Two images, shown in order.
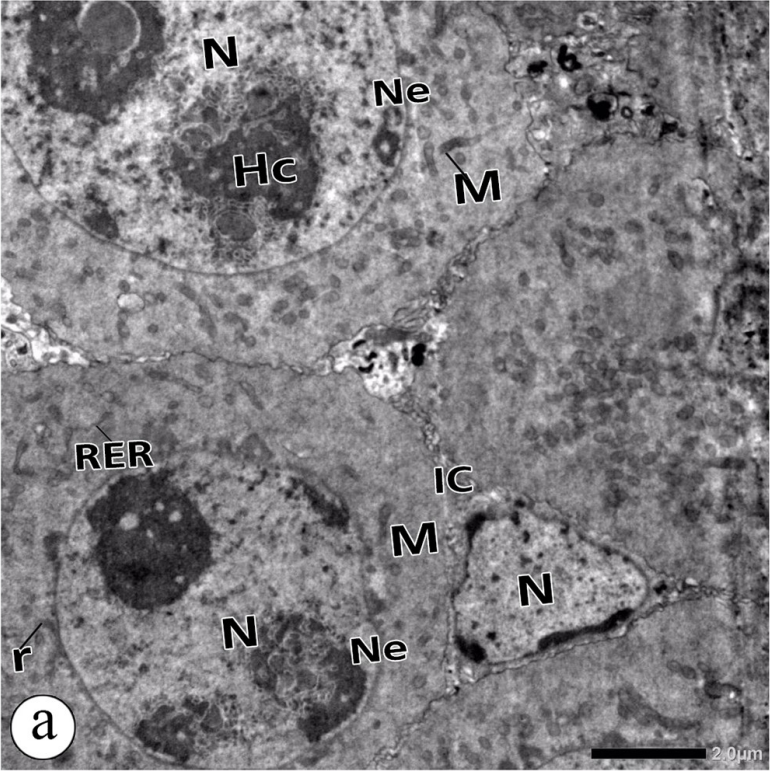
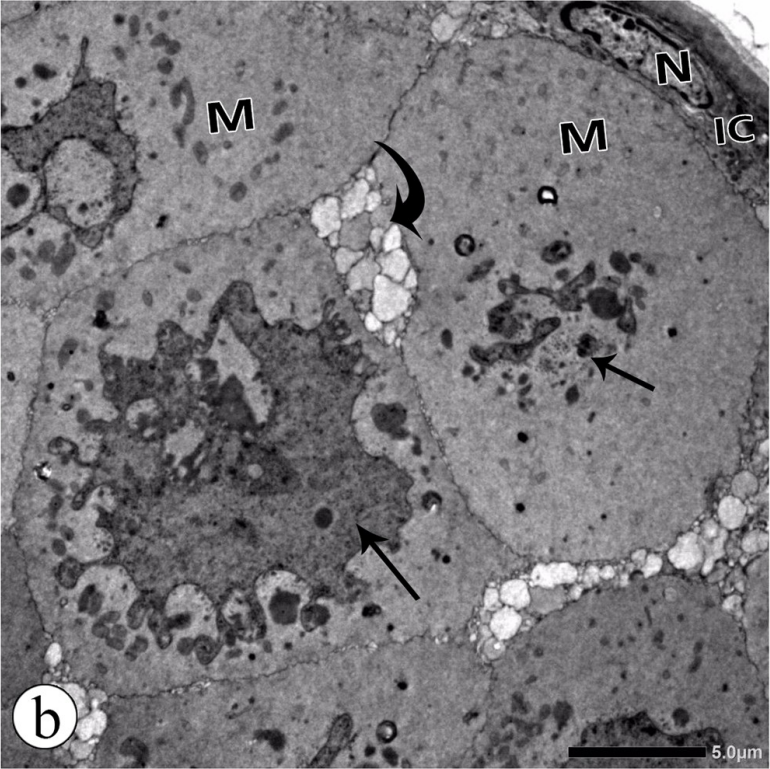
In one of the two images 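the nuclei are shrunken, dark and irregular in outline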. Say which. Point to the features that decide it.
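First image: nuclei are round with a smooth envelope and pale nucleoplasm holding dark chromatin clumps. Second image: nuclei are dense, dark and have irregular, scalloped outlines.
Answer: the second image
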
